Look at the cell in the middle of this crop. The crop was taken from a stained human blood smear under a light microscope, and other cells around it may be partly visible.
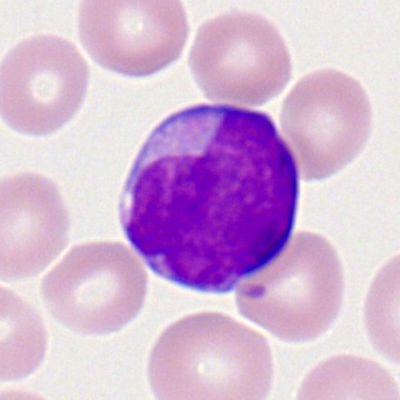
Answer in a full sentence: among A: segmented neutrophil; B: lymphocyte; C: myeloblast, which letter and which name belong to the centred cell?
Of the choices given, option C is right, as the central cell is a myeloblast.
